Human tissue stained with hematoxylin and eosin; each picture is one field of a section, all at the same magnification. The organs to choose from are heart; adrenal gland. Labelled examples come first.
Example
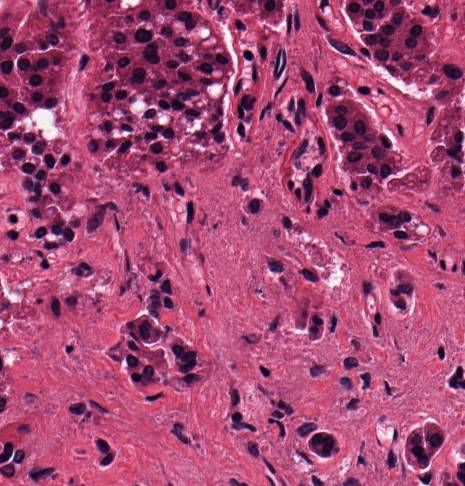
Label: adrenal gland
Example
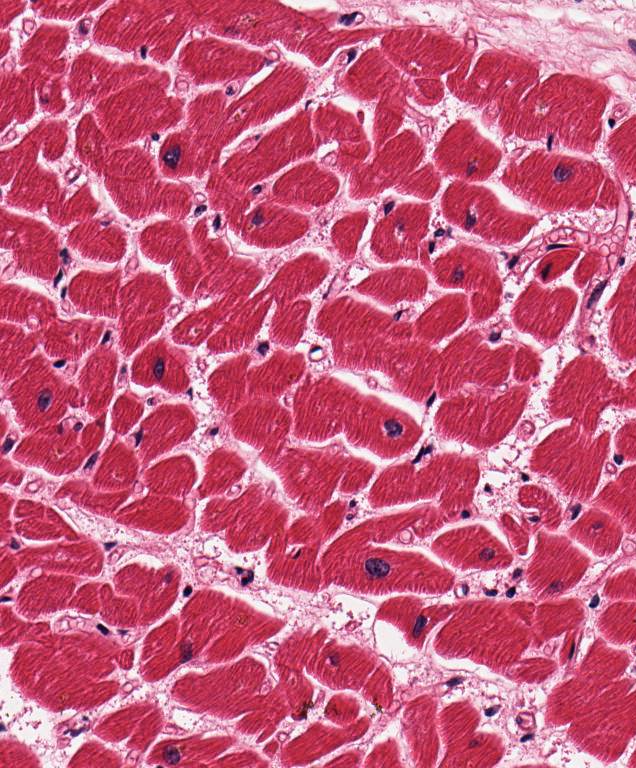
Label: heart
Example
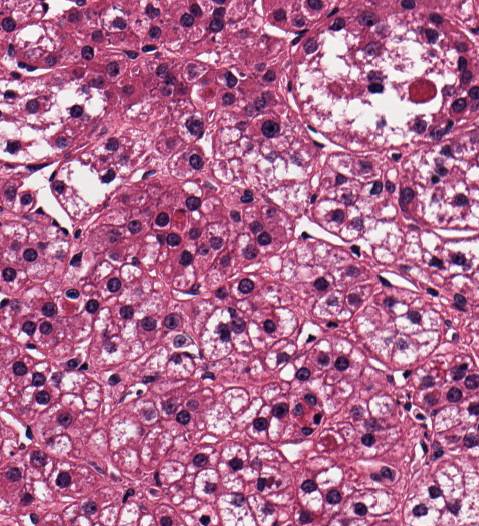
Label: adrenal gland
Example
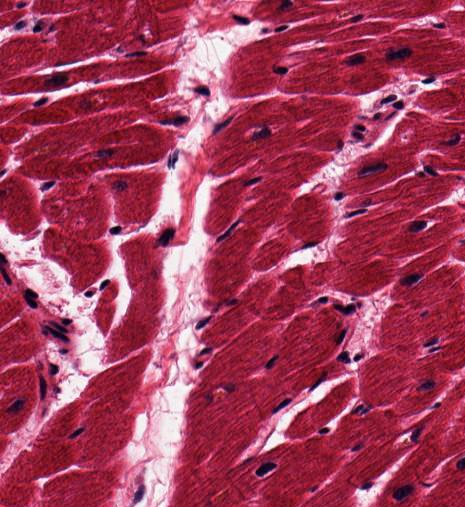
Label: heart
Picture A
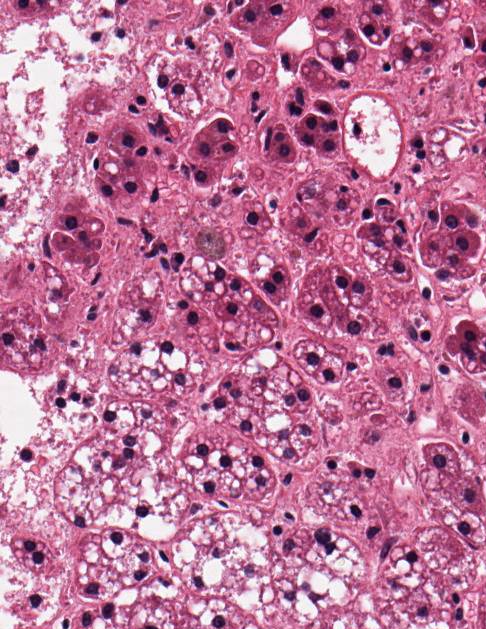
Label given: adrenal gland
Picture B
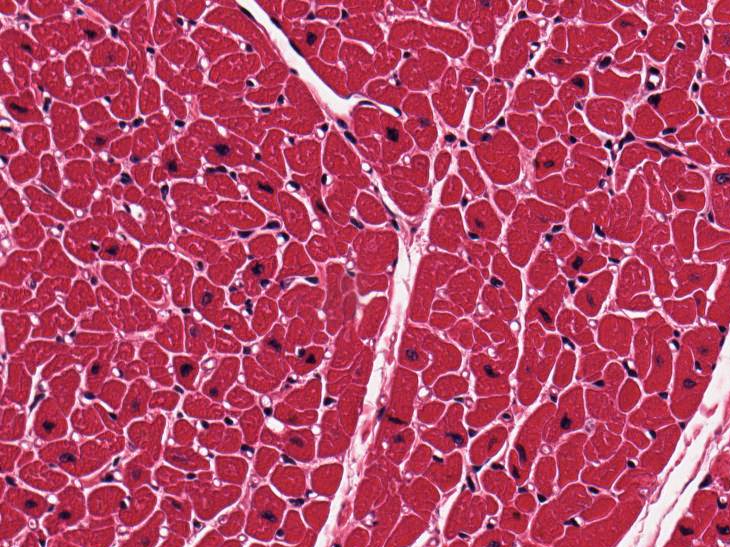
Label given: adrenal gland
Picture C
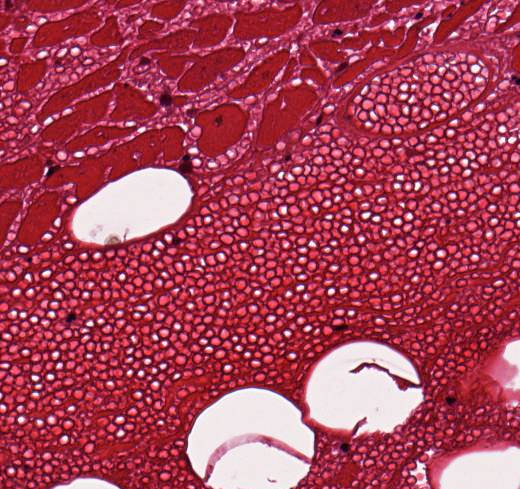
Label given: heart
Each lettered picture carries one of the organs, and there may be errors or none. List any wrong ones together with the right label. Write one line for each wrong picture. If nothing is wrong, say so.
B: not adrenal gland but heart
